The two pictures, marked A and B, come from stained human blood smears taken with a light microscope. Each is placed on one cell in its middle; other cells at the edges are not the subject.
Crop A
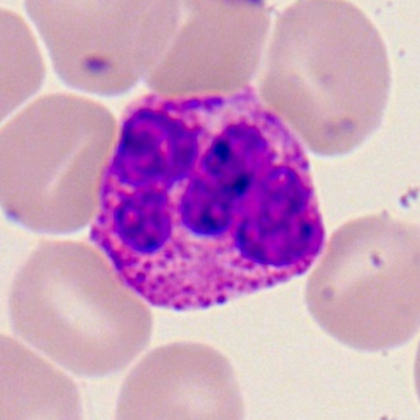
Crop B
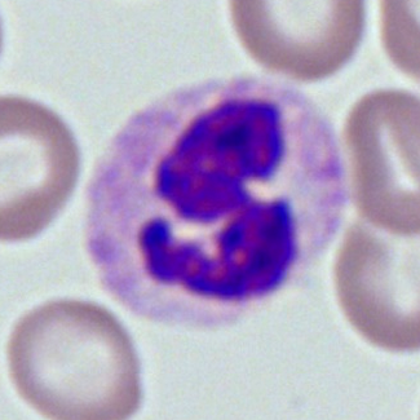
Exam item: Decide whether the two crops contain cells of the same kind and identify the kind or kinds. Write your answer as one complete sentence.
No, crop A depicts a basophil, and crop B depicts a neutrophil.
